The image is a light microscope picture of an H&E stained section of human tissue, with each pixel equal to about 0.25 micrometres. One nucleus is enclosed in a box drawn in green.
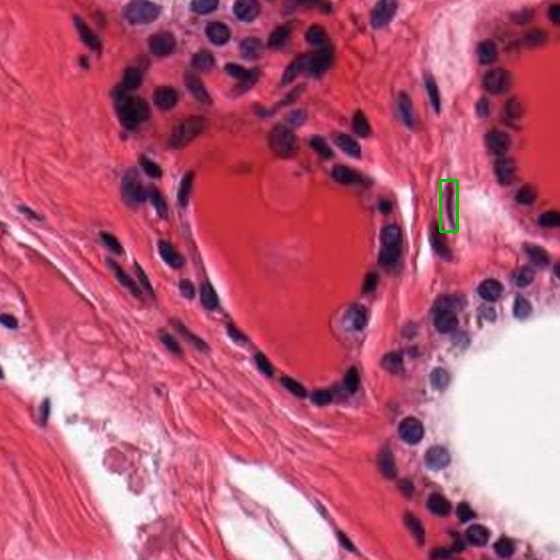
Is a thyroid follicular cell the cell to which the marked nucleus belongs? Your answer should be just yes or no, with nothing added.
no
